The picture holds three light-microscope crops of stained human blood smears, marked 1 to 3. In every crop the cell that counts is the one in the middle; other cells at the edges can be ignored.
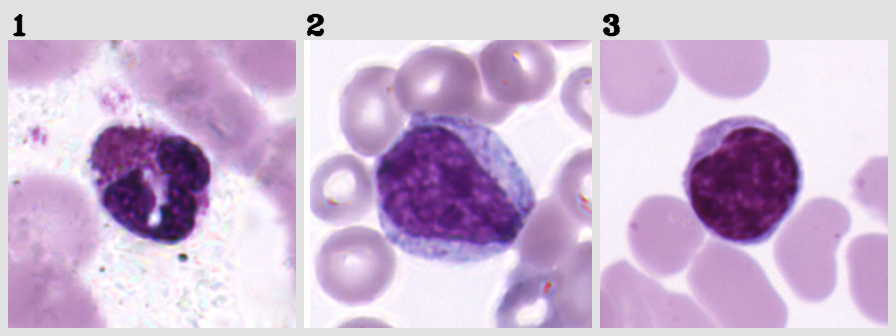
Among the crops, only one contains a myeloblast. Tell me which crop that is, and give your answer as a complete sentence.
Crop 3 represents a myeloblast, while the other crops do not.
